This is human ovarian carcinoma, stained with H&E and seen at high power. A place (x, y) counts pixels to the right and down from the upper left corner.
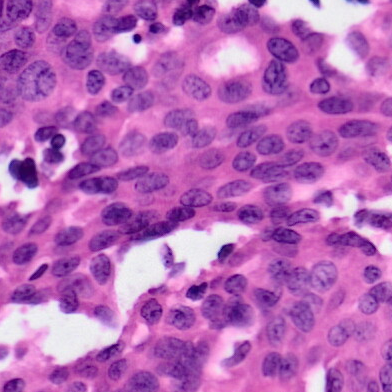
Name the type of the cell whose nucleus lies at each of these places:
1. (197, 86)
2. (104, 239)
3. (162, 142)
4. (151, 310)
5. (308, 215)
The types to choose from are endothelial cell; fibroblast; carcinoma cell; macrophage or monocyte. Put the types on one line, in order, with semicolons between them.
carcinoma cell; carcinoma cell; carcinoma cell; macrophage or monocyte; macrophage or monocyte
